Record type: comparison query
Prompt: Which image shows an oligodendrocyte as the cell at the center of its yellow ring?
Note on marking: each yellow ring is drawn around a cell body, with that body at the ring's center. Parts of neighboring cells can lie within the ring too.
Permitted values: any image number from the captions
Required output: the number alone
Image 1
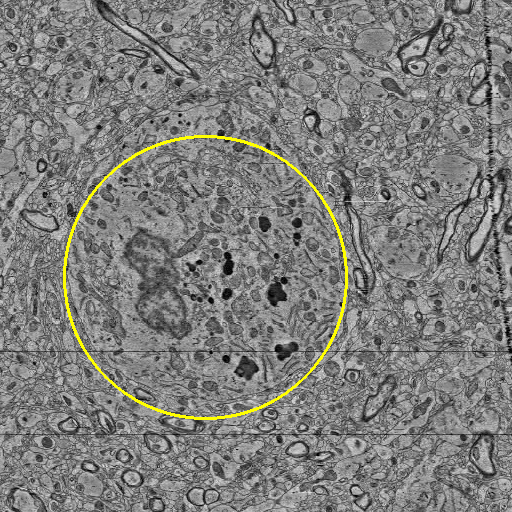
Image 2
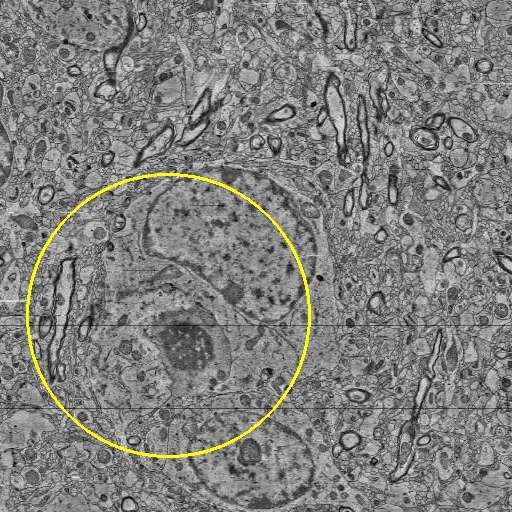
2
